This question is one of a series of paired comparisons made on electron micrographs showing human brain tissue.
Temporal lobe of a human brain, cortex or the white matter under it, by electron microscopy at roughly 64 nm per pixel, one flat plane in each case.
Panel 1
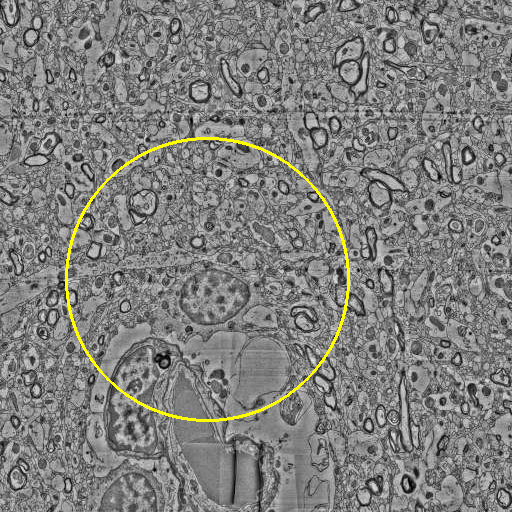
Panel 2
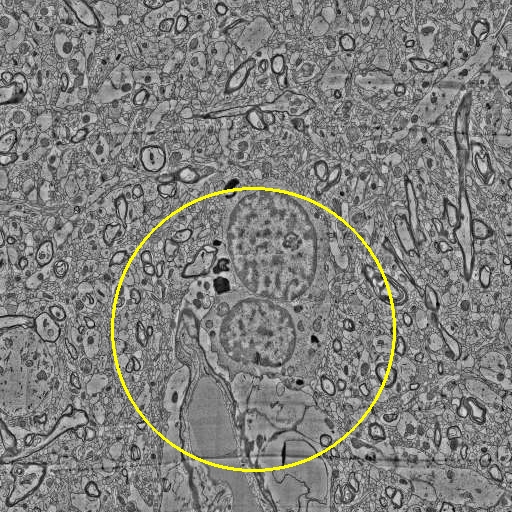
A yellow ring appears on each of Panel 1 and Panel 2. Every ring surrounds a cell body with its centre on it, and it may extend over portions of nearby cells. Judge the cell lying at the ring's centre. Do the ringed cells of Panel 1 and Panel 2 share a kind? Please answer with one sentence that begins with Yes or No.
Yes, the ring-centre cell in Panel 1 and the one in Panel 2 are of one kind.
